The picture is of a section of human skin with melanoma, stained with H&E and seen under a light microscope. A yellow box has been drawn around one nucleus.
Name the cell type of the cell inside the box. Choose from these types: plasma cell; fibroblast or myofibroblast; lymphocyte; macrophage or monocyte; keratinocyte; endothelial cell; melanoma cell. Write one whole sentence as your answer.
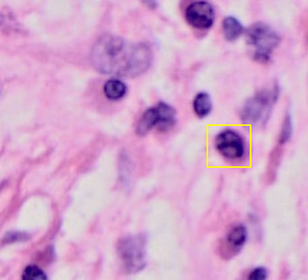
Recorded by type, the cell inside the box is a plasma cell.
